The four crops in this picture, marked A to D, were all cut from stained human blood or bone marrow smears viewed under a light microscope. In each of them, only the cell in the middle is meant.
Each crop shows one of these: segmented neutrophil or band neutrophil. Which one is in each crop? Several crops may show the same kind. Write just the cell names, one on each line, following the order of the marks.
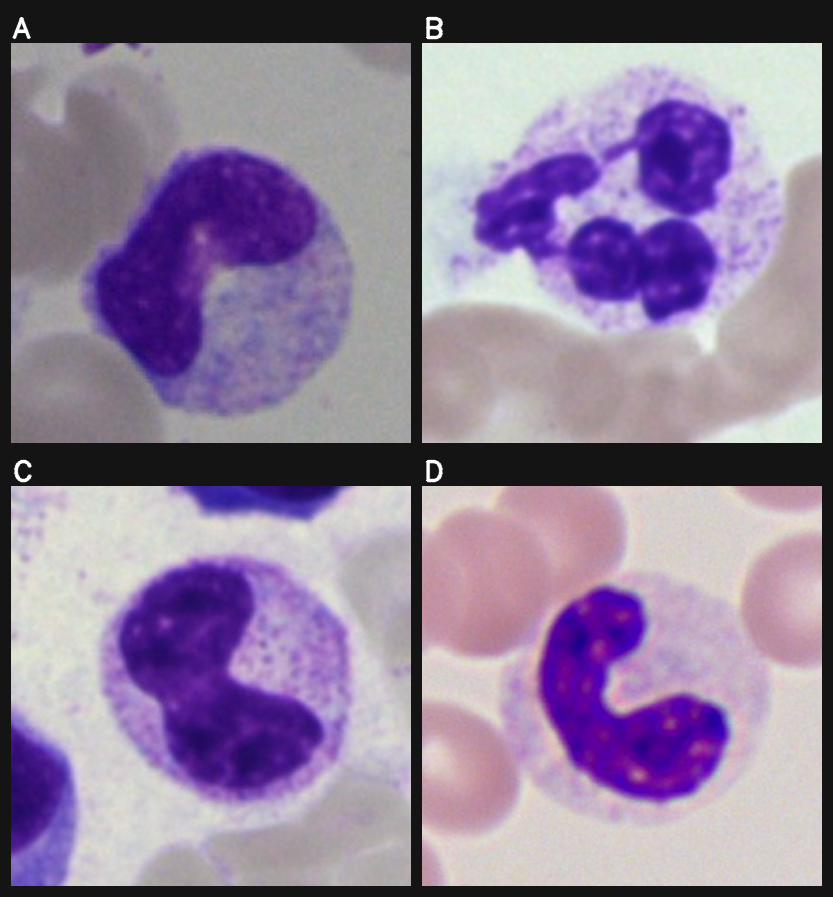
band neutrophil
segmented neutrophil
band neutrophil
band neutrophil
